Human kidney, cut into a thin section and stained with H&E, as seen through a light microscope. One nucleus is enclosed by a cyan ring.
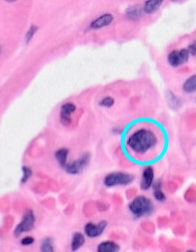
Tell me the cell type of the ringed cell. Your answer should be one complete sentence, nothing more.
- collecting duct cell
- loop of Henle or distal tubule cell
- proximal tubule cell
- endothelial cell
Within the stained tissue, the ringed cell is an endothelial cell.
